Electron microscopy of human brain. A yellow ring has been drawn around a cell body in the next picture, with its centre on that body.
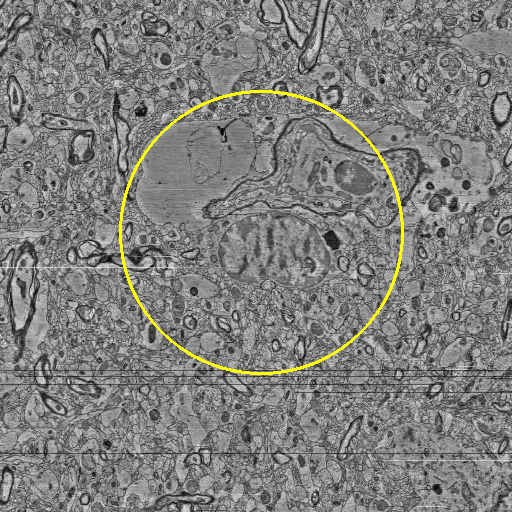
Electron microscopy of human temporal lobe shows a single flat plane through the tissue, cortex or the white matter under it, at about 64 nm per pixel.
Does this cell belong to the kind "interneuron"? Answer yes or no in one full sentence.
No, the ringed cell in this picture, sitting at the ring's centre, is of another kind.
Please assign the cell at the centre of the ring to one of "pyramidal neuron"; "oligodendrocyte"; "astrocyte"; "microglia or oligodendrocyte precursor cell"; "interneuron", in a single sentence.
The cell circled by the yellow ring is an oligodendrocyte.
